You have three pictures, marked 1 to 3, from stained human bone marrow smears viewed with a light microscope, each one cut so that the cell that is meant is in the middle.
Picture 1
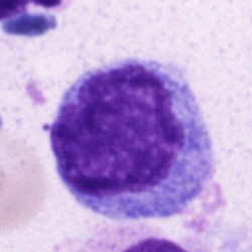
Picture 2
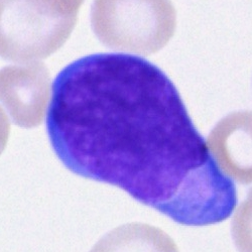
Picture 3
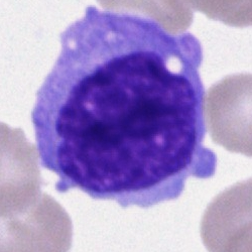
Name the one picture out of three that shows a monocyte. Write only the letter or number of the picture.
3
